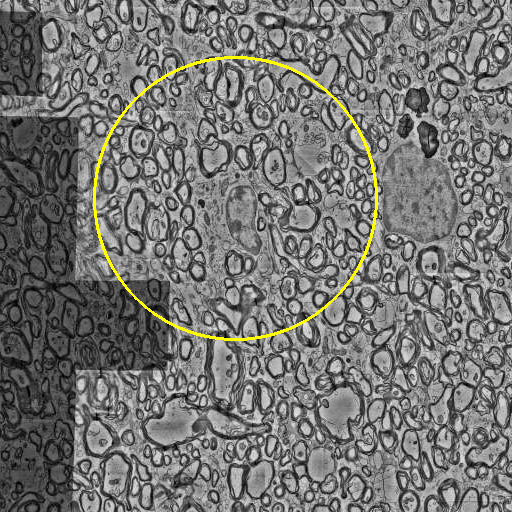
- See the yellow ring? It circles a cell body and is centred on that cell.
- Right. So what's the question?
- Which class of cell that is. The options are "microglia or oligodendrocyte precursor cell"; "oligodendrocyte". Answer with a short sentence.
The centre of the ring holds a microglial cell or oligodendrocyte precursor cell.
